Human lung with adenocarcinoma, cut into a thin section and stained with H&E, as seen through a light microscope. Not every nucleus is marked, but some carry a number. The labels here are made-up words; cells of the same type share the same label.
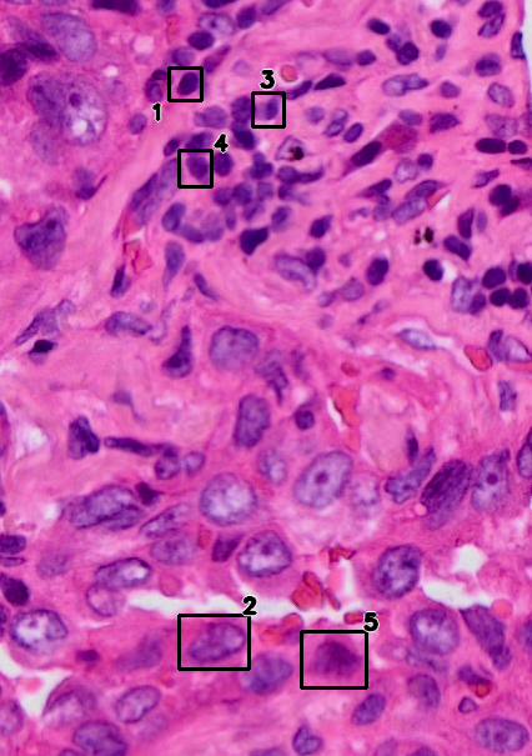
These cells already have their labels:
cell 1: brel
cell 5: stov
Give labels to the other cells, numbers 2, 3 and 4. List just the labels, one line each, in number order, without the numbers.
stov
brel
brel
